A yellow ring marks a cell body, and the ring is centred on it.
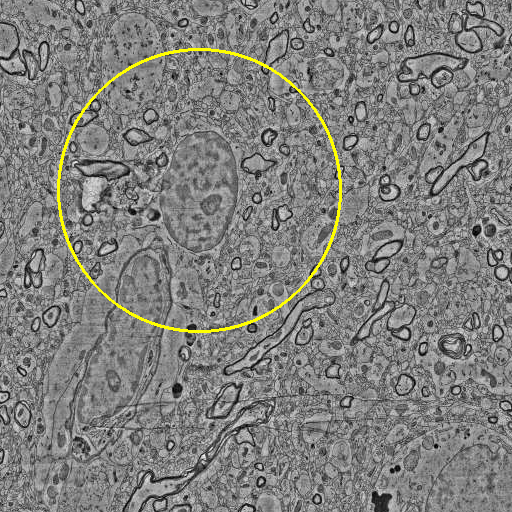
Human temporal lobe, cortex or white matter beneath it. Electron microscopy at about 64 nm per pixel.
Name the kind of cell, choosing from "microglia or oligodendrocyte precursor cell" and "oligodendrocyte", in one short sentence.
The marked cell body belongs to a microglial cell or oligodendrocyte precursor cell.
